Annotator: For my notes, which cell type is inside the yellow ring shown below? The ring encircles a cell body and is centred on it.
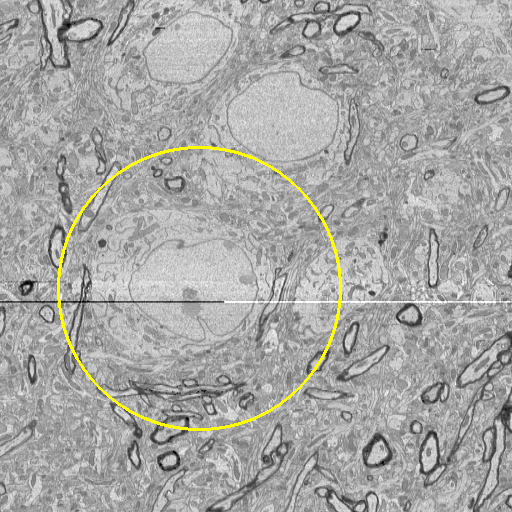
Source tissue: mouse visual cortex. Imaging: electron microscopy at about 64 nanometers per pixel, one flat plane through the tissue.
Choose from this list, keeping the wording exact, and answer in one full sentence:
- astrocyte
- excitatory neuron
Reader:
At the centre of the yellow ring there is an excitatory neuron, as shown in the picture.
